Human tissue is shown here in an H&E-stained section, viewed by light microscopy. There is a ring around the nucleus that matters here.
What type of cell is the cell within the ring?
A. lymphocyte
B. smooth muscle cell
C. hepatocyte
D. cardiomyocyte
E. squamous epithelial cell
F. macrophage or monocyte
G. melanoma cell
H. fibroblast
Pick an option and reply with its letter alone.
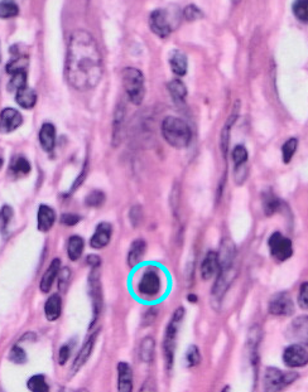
A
